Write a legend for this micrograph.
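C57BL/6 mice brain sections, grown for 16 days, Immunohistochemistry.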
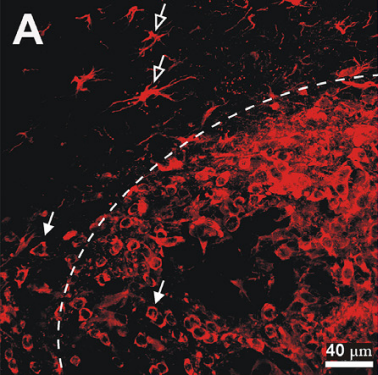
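Inside the dashed line the tumor forms a dense mass of crowded, rounded cells, with a dark cavity within it. Outside the line the tissue is sparse, and scattered astrocytes stand out as star-shaped cells with long, thin, branching processes. Rounded tumor cells are also seen near the border, among the surrounding tissue.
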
